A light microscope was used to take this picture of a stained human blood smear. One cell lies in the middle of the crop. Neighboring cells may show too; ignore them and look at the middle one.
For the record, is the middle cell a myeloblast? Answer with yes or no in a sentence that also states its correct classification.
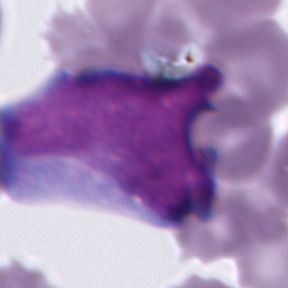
Yes, the cell of interest in the centre is a myeloblast.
